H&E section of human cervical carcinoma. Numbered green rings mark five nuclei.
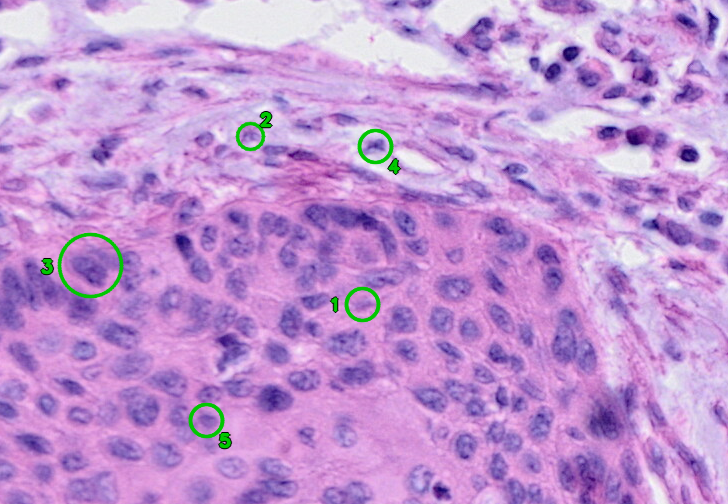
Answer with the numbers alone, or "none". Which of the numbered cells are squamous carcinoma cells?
1, 3, 5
